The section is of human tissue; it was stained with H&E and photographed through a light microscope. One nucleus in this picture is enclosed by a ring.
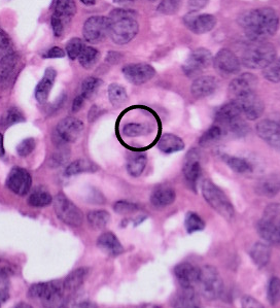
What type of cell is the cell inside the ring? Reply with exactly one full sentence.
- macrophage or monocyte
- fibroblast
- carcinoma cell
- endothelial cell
As far as its identity is concerned, the cell inside the ring is a macrophage or monocyte.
